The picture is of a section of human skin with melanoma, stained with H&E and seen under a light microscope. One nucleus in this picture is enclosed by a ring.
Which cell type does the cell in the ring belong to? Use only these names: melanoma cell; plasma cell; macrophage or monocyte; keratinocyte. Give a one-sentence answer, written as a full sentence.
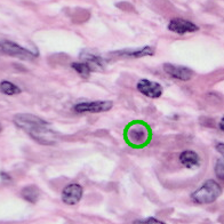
What the cell in the ring represents is a plasma cell.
